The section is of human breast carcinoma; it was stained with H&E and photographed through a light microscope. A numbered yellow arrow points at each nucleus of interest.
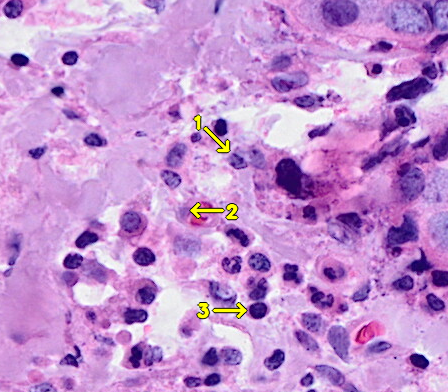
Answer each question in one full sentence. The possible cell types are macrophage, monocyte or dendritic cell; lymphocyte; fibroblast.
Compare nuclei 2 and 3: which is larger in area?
The larger nucleus is 3, at roughly 2 times the area of 2.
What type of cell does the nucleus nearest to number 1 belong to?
The nearest nucleus to number 1 belongs to a macrophage, monocyte or dendritic cell.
